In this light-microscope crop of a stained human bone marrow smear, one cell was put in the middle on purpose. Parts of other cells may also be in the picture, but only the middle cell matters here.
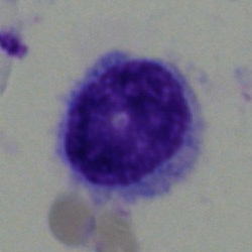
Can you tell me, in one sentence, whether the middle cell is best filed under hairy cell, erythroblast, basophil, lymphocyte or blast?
On this slide crop, the central cell is a hairy cell.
